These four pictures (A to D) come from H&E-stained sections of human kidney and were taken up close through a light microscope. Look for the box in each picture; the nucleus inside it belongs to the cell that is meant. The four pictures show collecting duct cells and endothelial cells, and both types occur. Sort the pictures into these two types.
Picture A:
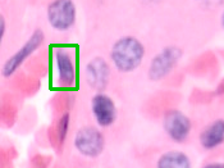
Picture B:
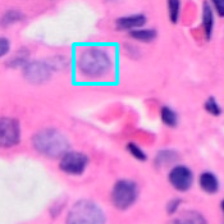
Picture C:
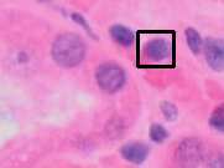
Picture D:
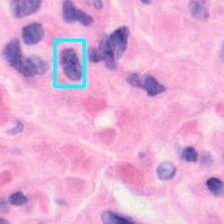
A: endothelial cell
B: collecting duct cell
C: endothelial cell
D: endothelial cell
